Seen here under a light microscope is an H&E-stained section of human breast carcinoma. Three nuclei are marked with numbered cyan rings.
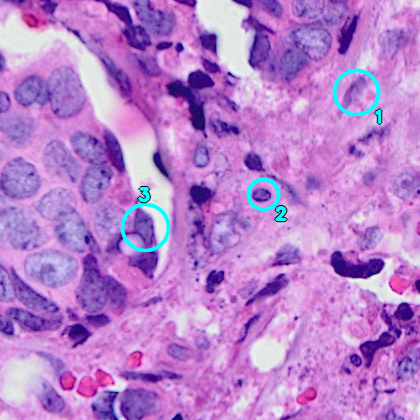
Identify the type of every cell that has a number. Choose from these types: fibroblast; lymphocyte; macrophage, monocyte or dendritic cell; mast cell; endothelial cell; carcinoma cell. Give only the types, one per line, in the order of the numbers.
fibroblast
mast cell
carcinoma cell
